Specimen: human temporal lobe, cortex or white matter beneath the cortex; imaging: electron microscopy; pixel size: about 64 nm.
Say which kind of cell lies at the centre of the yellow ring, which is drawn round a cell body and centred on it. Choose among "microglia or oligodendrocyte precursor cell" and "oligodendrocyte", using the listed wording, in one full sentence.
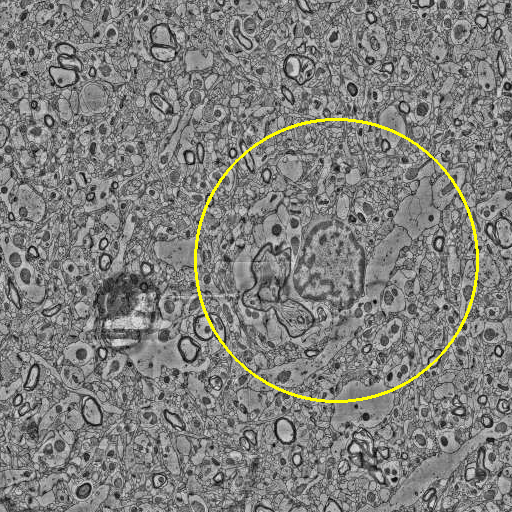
Going by the list, the cell at the yellow ring's centre is an oligodendrocyte.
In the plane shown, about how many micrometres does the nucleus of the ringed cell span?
In this plane the nucleus is about 6 micrometres by 5.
